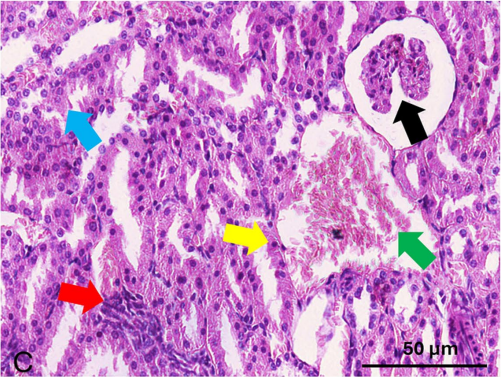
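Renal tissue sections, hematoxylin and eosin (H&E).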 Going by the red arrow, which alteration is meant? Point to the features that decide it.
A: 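Leukocyte infiltration. A dense cluster of small, dark purple nuclei between the tubules. The cluster is more crowded and darker than the surrounding tubular epithelium.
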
